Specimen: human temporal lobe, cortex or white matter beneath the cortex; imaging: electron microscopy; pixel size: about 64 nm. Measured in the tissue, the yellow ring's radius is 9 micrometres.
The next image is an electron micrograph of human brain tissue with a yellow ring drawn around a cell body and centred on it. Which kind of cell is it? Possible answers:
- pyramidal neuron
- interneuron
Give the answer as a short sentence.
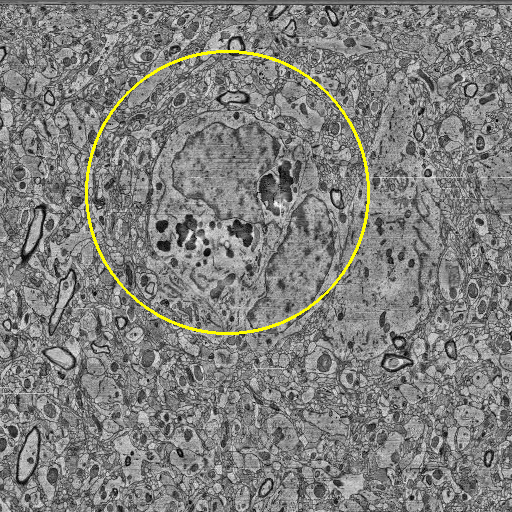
In the ring's centre is an interneuron.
